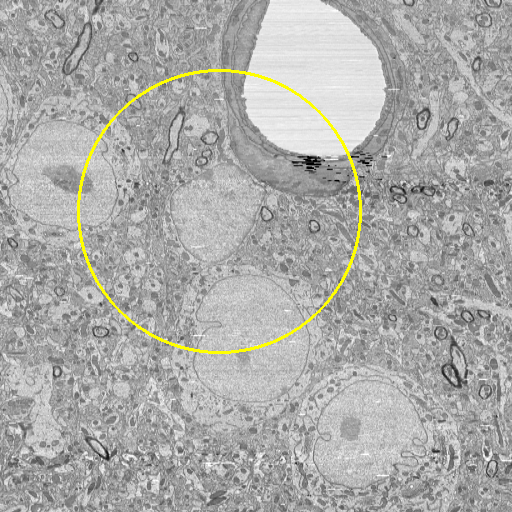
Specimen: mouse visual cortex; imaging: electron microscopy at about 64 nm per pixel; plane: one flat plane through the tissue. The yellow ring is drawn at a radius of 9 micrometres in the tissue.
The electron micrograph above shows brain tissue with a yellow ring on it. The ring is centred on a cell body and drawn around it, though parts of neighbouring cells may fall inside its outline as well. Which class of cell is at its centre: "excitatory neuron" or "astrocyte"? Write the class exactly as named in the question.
astrocyte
